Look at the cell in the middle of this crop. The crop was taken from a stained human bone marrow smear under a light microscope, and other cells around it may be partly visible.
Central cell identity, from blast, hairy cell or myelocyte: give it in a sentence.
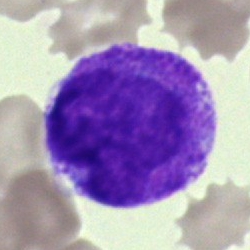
What the crop centres on is a blast.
